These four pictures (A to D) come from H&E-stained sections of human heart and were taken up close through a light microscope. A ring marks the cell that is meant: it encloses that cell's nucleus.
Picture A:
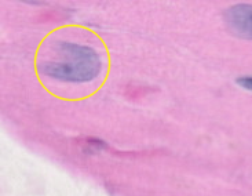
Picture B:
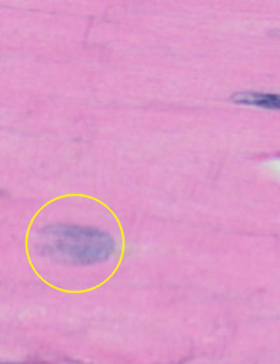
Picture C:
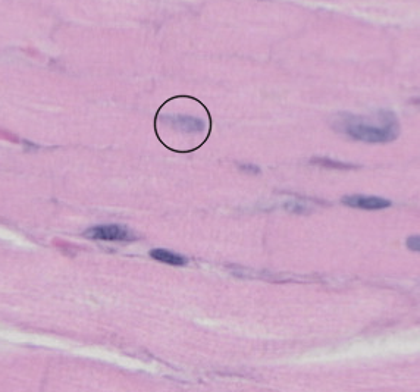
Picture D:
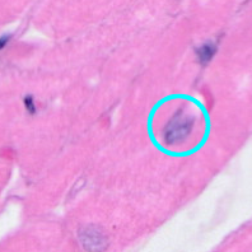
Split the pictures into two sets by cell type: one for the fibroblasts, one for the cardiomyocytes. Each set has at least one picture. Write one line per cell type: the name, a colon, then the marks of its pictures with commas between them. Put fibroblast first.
fibroblast: C
cardiomyocyte: A, B, D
